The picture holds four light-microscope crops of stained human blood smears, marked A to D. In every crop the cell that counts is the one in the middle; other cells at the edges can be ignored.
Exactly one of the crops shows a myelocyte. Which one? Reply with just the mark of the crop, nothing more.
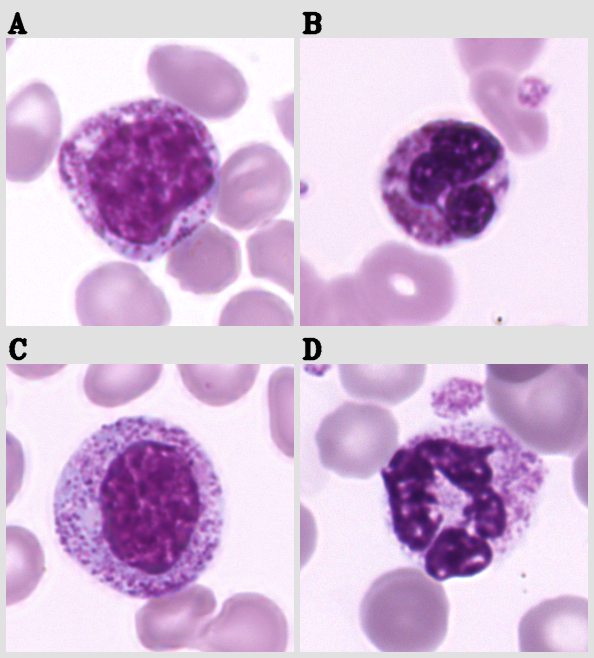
C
